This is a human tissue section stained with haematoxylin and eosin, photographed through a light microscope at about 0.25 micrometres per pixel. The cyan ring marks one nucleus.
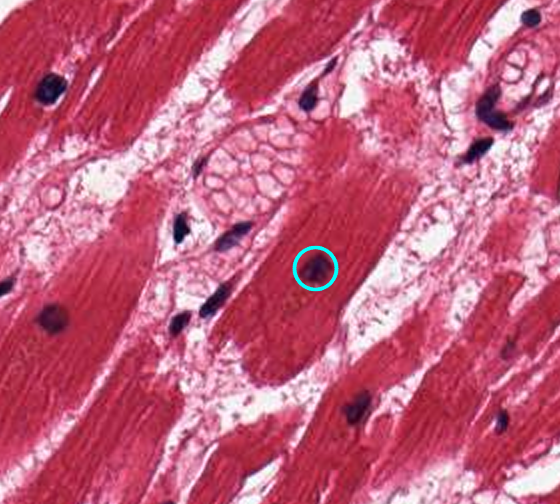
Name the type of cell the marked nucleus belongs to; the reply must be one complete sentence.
The cell to which the marked nucleus belongs is a cardiomyocyte.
